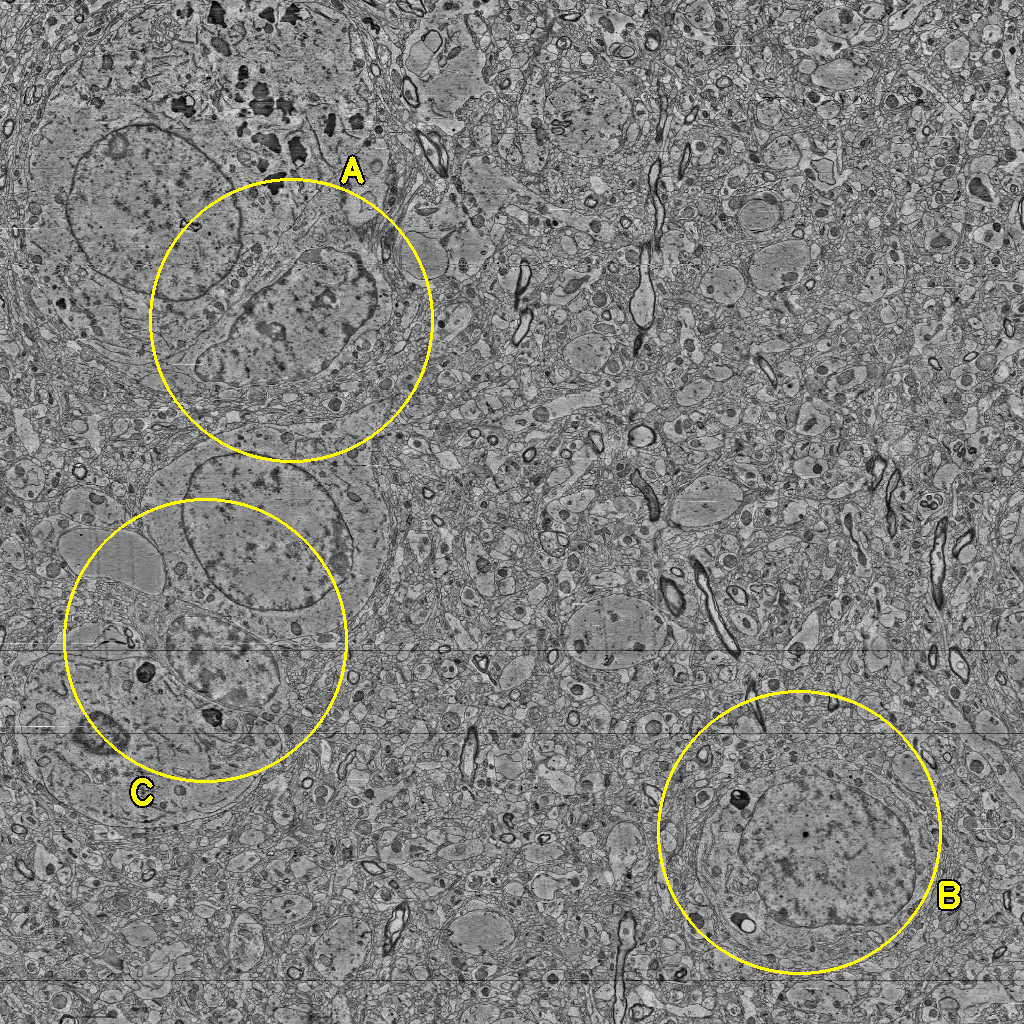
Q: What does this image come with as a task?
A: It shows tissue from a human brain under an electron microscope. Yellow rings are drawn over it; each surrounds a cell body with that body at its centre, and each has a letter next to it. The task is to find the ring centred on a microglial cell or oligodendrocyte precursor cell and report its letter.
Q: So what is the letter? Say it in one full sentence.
It is A, the letter of the ring centred on the cell asked for in the picture.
